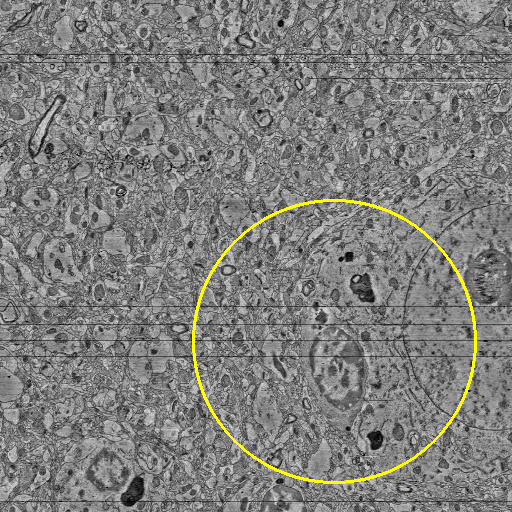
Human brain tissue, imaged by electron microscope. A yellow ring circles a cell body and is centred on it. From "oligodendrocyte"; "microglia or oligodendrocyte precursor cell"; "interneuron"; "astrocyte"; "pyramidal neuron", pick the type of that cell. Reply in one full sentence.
The cell body at the centre of the yellow ring belongs to an oligodendrocyte.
